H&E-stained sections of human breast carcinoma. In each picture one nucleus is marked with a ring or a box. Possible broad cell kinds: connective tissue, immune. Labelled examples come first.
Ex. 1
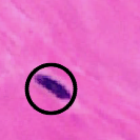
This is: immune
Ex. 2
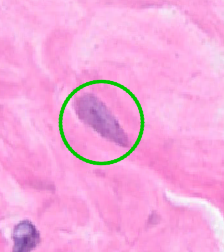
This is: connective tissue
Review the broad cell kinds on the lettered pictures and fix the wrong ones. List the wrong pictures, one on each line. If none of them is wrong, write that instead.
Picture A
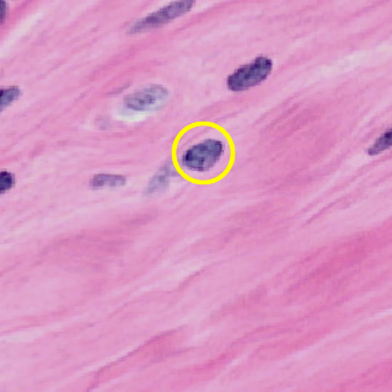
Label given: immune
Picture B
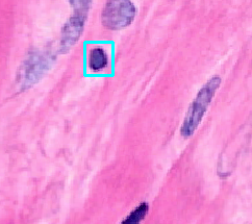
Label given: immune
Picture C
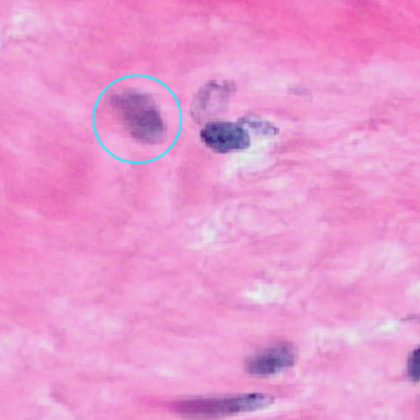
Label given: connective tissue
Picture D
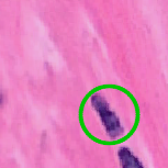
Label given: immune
All labels are correct.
